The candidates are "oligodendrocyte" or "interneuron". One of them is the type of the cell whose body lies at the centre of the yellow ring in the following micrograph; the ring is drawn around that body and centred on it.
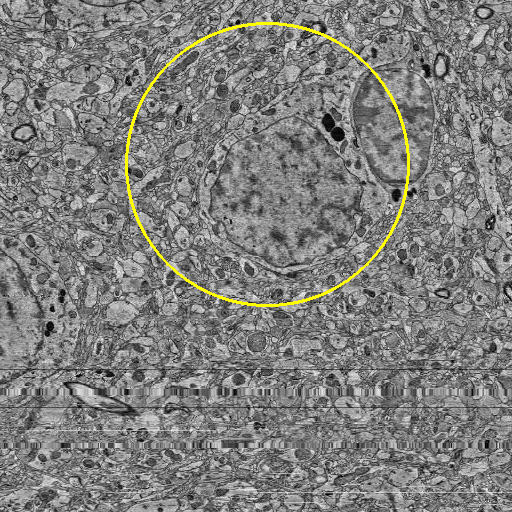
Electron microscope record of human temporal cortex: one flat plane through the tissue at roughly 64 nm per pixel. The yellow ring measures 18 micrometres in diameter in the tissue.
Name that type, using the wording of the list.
interneuron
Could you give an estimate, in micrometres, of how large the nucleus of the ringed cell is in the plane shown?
About 10 micrometres across in this plane.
